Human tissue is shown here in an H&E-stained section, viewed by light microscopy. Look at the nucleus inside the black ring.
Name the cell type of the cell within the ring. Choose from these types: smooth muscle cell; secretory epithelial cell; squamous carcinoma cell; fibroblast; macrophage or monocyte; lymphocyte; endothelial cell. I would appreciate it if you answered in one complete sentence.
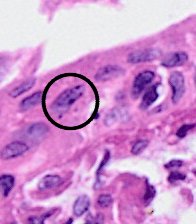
In this tissue section, the cell within the ring is to be classed as a squamous carcinoma cell.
